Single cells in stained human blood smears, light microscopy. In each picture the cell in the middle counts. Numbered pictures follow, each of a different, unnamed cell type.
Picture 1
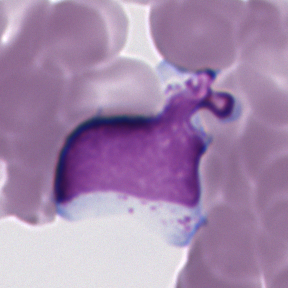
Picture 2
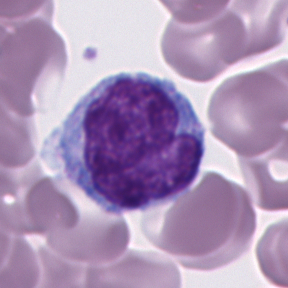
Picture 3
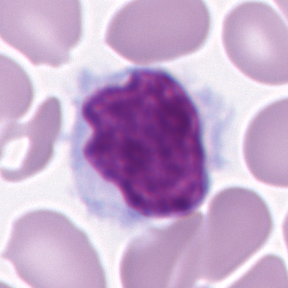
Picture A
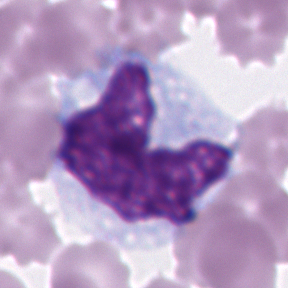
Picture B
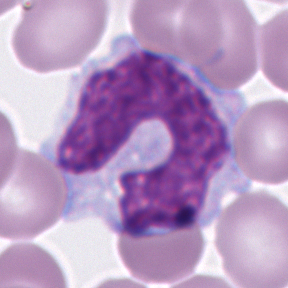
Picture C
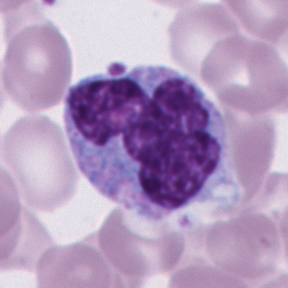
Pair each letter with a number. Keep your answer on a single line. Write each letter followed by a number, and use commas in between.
A 2, B 2, C 2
